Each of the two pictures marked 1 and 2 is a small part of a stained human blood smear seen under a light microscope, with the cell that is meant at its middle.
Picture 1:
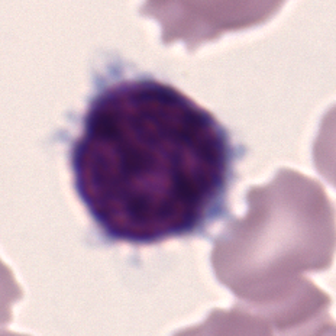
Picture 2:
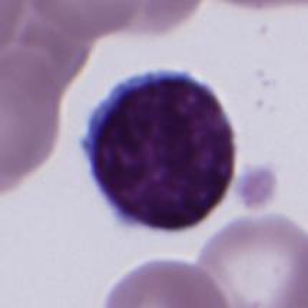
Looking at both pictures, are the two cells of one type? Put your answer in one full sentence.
No. Picture 1 shows a hairy cell, but picture 2 shows a typical lymphocyte.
